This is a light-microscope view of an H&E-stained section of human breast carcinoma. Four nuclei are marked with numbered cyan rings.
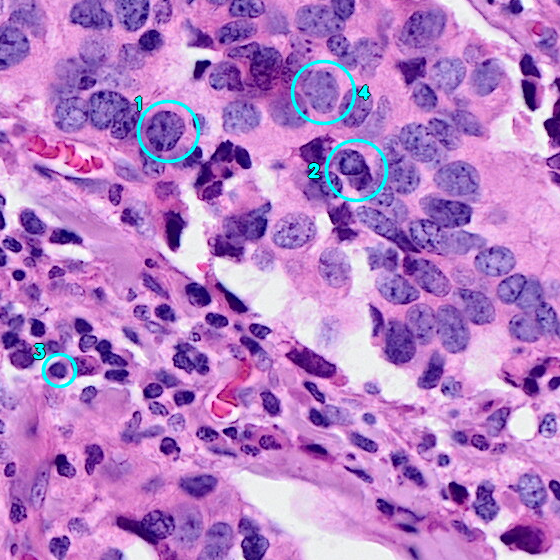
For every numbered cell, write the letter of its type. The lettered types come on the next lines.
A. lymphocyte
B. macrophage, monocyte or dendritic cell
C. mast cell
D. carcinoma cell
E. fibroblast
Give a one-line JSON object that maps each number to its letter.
{"1": "D", "2": "D", "3": "A", "4": "D"}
